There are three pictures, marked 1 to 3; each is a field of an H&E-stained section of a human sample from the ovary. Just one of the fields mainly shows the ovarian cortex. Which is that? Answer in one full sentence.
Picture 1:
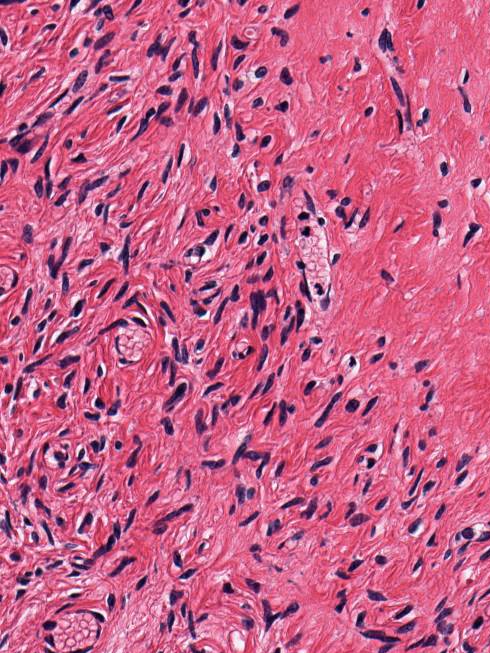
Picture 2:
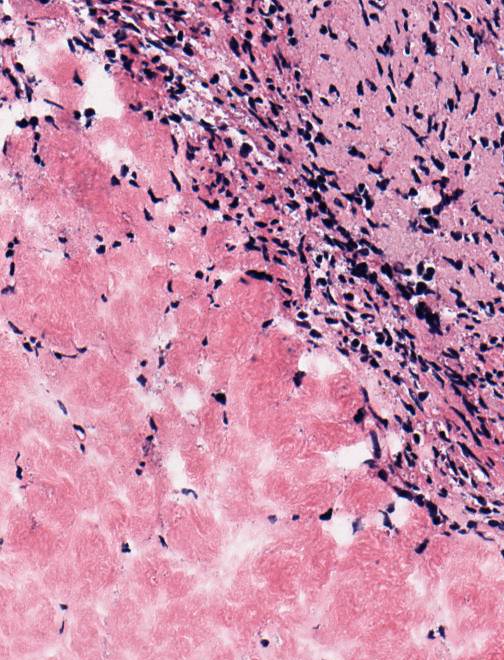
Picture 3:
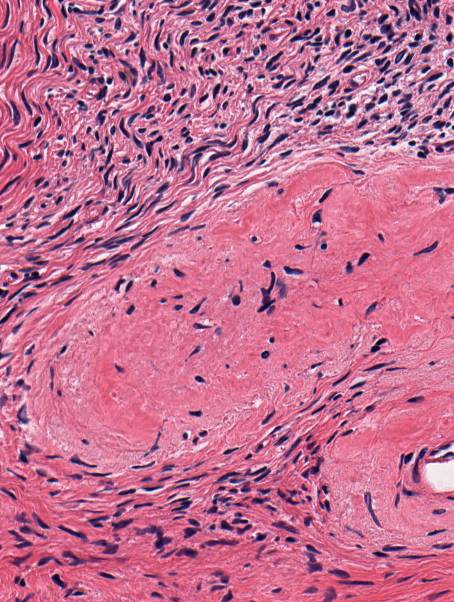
Picture 1 is the field that mainly shows the ovarian cortex.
